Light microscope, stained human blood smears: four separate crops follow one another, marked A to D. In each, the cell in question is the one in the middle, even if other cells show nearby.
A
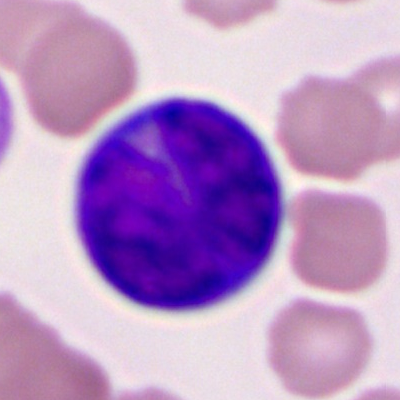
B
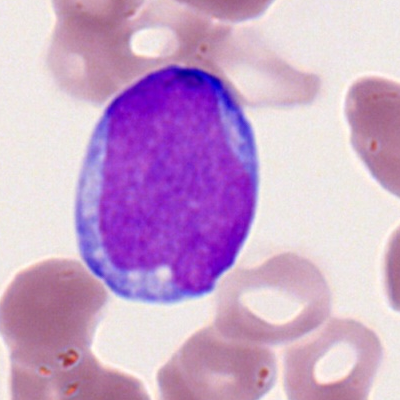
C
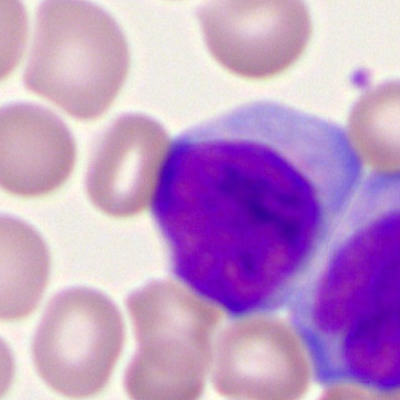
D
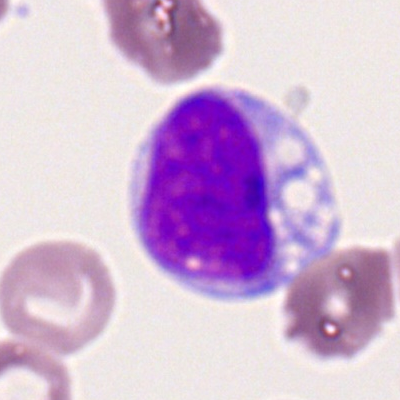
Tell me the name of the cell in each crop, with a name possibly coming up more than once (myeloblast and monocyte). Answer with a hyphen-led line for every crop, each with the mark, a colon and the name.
- A: myeloblast
- B: myeloblast
- C: myeloblast
- D: monocyte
